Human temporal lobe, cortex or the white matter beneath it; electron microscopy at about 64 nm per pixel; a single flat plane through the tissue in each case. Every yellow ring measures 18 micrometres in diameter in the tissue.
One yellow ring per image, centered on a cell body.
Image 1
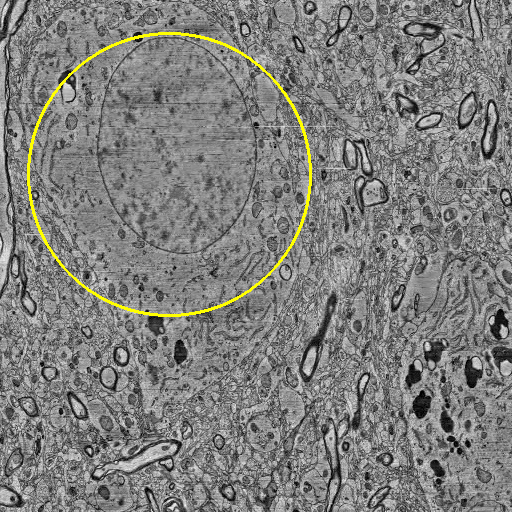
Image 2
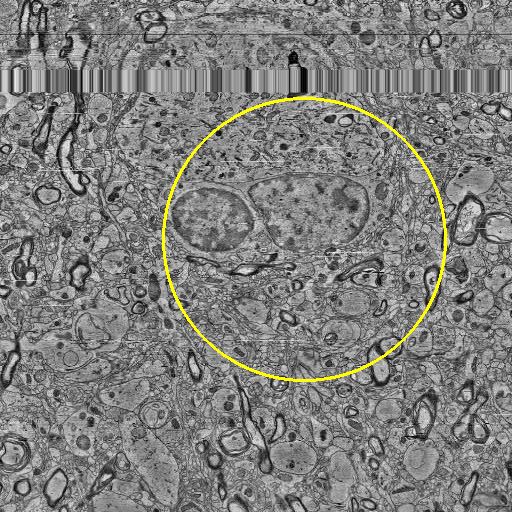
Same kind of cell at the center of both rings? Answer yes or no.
no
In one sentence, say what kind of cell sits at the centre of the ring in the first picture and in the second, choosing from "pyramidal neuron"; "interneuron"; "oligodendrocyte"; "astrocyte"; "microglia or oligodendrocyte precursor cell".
The first picture's ringed cell is a pyramidal neuron, while the second picture's is an oligodendrocyte.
